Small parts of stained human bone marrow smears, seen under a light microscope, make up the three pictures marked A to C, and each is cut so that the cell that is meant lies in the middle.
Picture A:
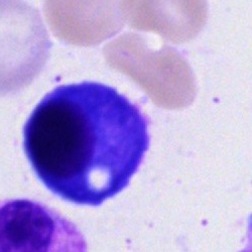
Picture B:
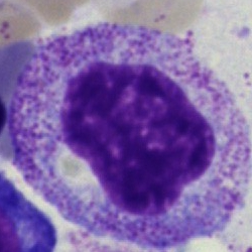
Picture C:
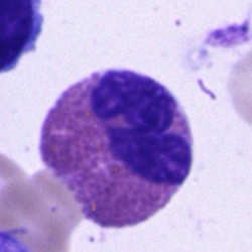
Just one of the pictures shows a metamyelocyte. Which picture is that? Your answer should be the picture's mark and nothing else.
B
